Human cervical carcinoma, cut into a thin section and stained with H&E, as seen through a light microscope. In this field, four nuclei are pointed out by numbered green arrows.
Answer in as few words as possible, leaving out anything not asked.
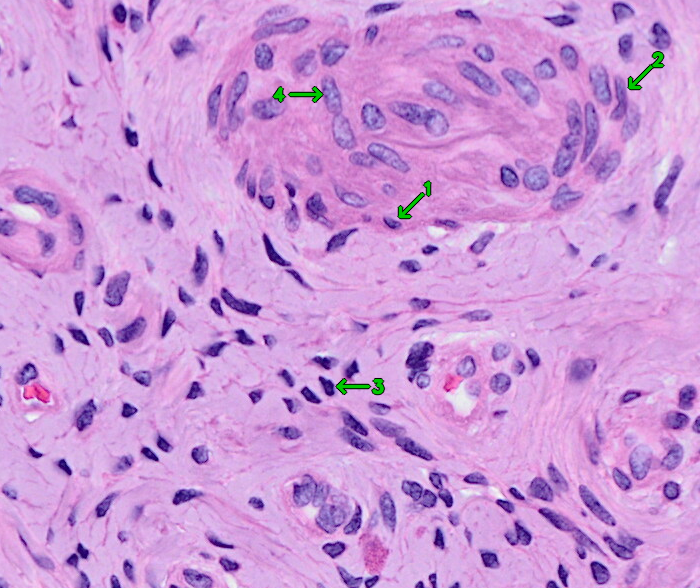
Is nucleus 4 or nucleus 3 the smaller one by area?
3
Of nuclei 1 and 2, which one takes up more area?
2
